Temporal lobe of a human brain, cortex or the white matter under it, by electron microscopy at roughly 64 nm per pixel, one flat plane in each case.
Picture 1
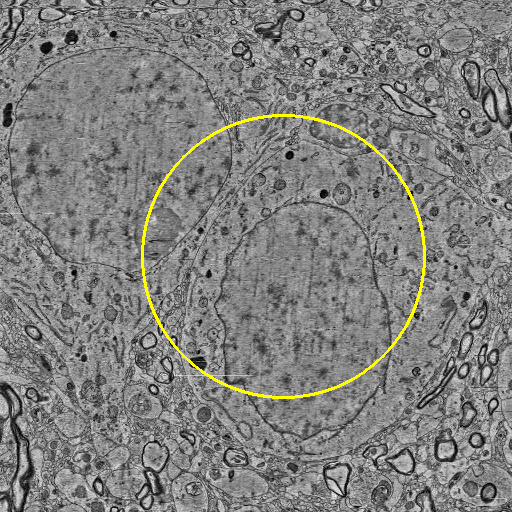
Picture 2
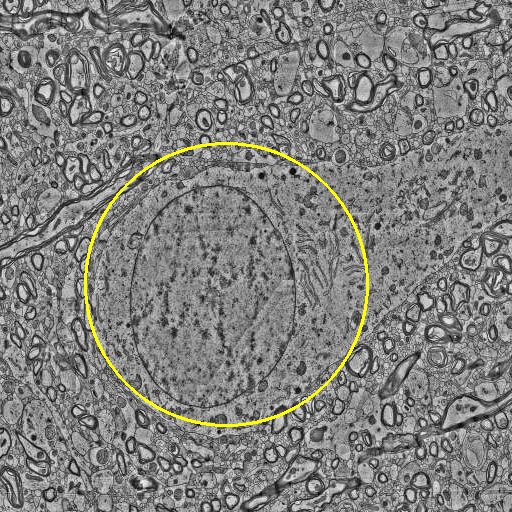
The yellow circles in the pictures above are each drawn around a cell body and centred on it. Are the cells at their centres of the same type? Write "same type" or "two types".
same type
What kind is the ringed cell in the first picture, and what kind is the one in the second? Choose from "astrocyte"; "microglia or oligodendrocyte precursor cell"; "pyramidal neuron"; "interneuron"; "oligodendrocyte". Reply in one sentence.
Each of the two rings is centred on a pyramidal neuron.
